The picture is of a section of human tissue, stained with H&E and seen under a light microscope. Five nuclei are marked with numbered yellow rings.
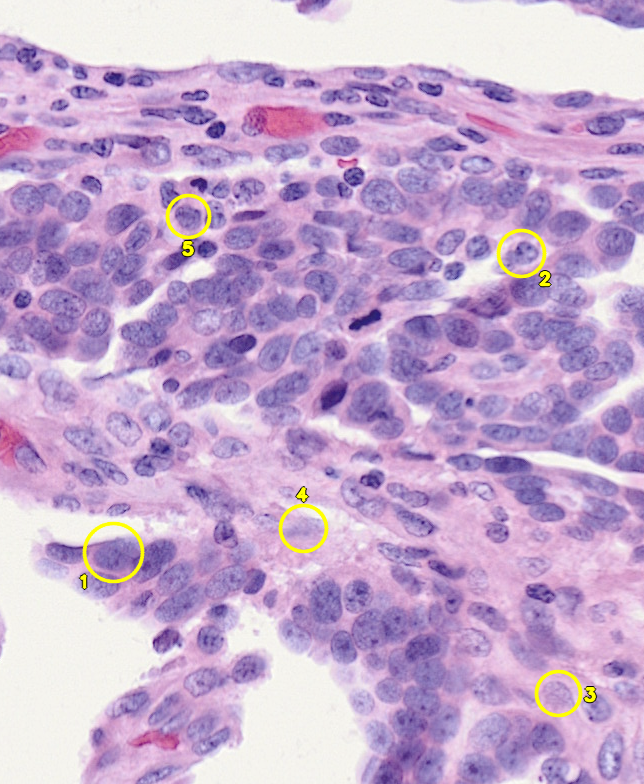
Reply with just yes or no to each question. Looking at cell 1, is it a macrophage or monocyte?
no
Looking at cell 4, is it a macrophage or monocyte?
no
